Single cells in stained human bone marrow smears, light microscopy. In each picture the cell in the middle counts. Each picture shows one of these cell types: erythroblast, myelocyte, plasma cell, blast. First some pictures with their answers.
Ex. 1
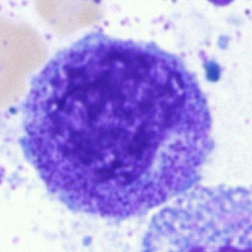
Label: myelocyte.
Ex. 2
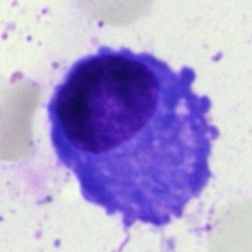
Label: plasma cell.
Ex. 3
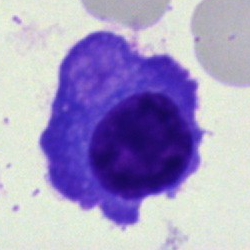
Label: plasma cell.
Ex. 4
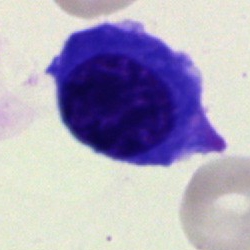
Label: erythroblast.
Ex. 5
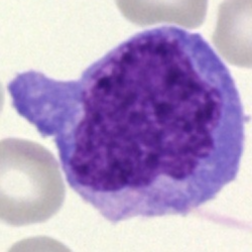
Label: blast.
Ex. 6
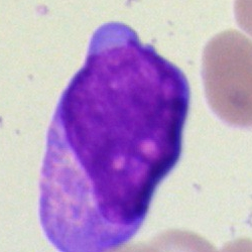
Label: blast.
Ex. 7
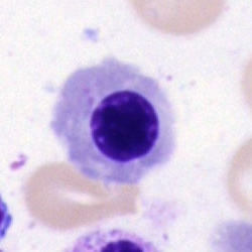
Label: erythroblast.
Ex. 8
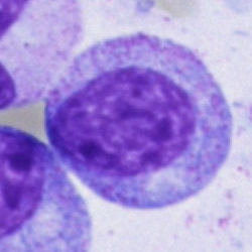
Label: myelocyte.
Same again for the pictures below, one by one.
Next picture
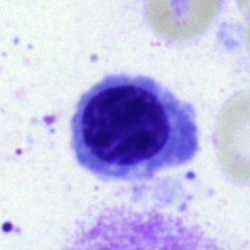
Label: erythroblast.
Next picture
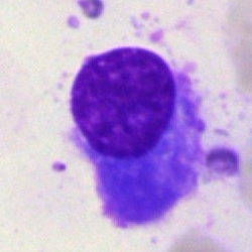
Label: plasma cell.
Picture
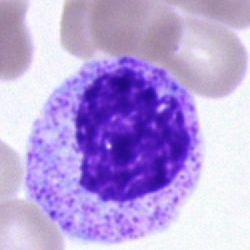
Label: myelocyte.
